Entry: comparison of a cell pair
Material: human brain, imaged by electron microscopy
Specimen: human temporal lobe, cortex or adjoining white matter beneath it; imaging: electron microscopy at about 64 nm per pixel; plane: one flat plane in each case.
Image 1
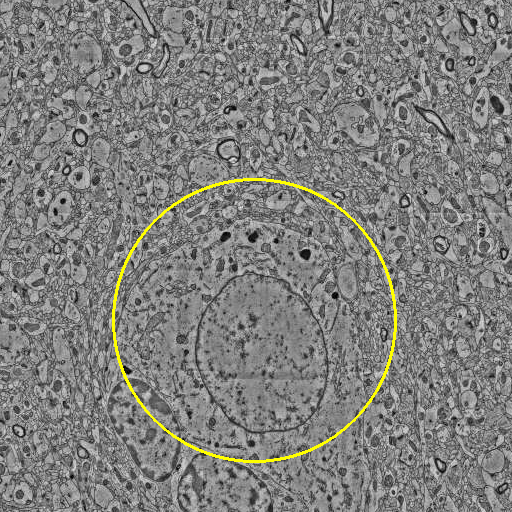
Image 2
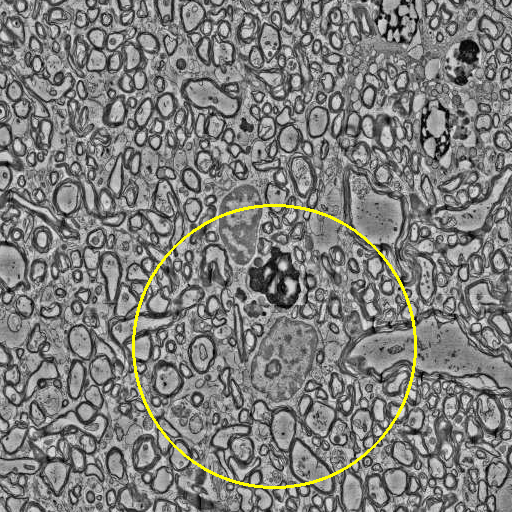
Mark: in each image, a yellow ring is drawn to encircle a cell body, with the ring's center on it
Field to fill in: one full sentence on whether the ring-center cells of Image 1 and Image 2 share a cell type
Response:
No, Image 1 and Image 2 show ring-center cells of two separate types.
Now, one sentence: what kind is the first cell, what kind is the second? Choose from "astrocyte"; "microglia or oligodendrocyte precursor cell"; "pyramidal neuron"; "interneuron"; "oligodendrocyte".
The first picture has a pyramidal neuron at its ring centre, and the second has an oligodendrocyte.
